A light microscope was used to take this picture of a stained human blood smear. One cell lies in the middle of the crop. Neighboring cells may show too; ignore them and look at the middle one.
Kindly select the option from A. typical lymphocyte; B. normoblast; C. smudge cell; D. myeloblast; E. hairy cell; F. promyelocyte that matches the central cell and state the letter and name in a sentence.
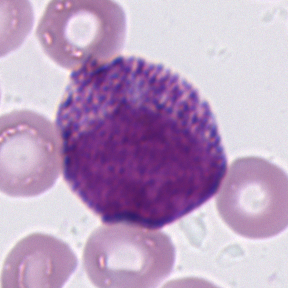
Answer key: option F, the middle cell being a promyelocyte.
